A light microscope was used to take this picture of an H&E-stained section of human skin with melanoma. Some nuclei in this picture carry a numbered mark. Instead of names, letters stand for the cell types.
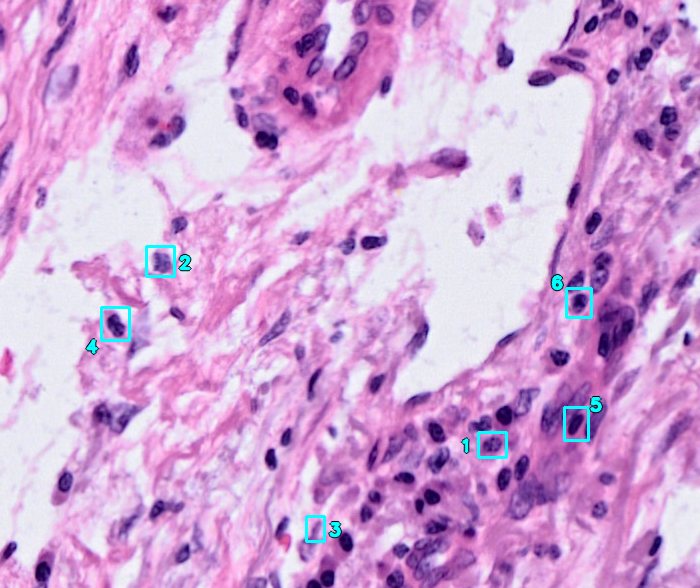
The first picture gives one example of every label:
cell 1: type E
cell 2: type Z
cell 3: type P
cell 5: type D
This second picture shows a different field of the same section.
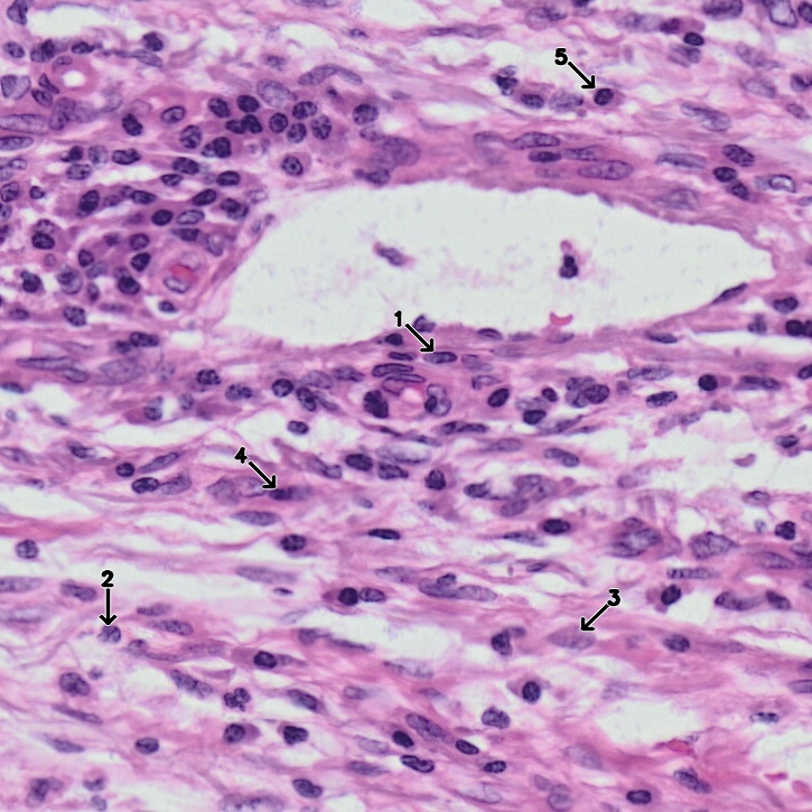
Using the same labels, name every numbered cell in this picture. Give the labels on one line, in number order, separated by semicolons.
type Z; type Z; type P; type D; type E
